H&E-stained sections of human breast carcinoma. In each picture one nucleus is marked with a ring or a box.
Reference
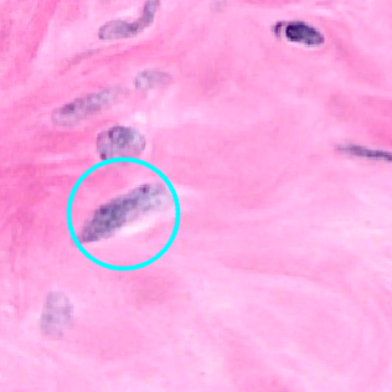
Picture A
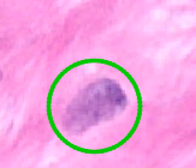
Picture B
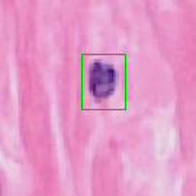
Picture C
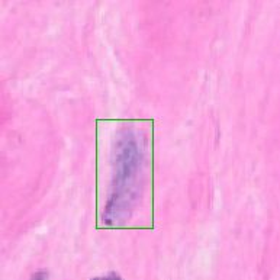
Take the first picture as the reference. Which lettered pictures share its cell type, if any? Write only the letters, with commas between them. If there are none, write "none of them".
A, C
